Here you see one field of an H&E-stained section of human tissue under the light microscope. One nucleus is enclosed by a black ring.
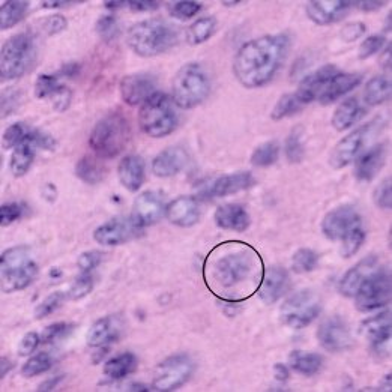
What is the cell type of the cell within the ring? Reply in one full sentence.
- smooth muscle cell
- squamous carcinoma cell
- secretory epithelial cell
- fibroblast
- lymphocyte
In terms of identity, the cell within the ring is a squamous carcinoma cell.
